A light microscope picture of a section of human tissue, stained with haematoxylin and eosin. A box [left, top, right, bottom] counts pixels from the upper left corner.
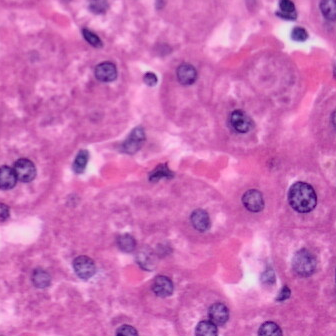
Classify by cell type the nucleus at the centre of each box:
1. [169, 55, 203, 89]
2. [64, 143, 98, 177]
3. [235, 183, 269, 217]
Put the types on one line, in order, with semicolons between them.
hepatocyte; lymphocyte; hepatocyte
